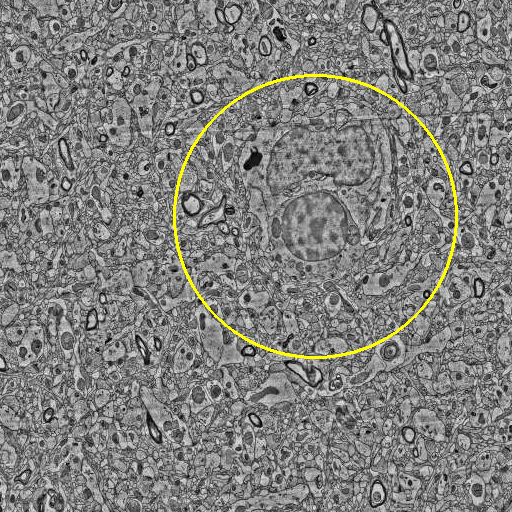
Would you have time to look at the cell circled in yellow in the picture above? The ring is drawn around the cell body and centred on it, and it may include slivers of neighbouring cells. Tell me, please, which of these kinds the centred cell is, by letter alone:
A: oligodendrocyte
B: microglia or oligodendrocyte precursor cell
A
